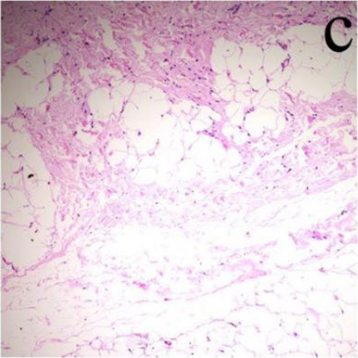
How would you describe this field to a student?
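This is fat tissue made of adipocytes, each seen as a large clear, empty-looking space outlined by a thin pink rim. Below and between the fat cells lies a loose, pale pink fibrous stroma with scattered small elongated nuclei.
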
